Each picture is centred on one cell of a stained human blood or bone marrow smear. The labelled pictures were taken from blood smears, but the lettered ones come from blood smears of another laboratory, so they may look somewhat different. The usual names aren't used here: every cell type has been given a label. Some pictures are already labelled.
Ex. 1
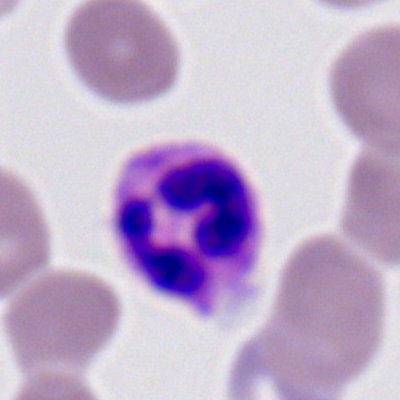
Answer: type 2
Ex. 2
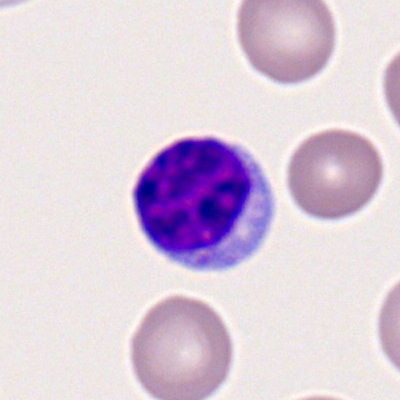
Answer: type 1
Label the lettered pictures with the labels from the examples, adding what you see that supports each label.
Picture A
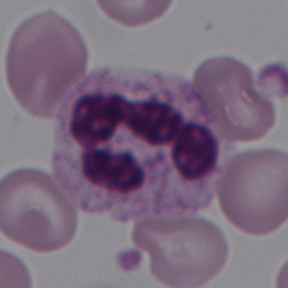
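Label: type 2. The nucleus is divided into four separate lobes.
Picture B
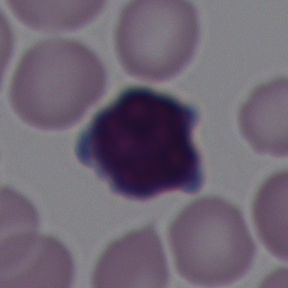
Label: type 1. The nucleus fills almost the whole cell.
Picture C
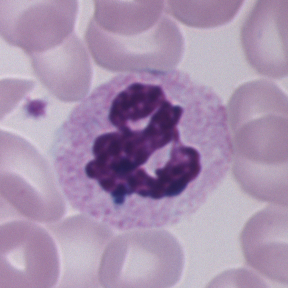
Label: type 2. The cytoplasm is plentiful and pale pinkish-lilac.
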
